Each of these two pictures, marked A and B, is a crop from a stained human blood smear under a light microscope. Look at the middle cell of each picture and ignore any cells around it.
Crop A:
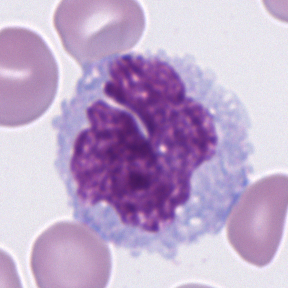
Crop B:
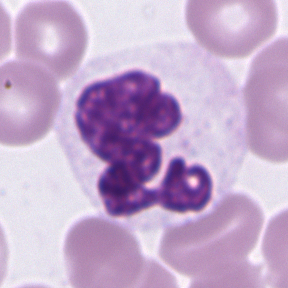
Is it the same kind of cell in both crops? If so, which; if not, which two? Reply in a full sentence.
No, record crop A as a monocyte and crop B as a segmented neutrophil.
